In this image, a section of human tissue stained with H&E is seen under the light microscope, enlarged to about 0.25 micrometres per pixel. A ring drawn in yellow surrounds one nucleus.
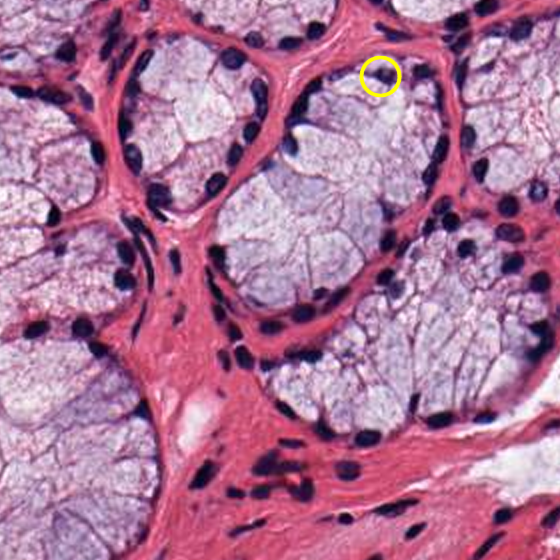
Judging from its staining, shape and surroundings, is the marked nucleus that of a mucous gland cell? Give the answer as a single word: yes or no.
yes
